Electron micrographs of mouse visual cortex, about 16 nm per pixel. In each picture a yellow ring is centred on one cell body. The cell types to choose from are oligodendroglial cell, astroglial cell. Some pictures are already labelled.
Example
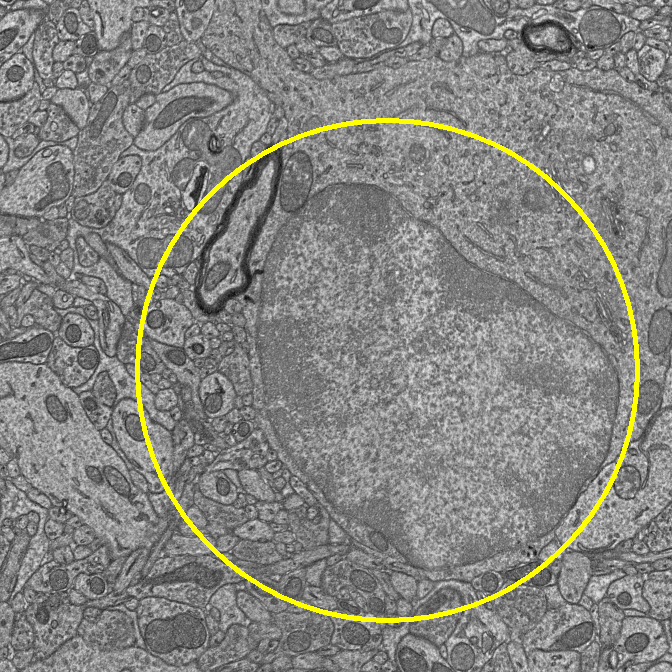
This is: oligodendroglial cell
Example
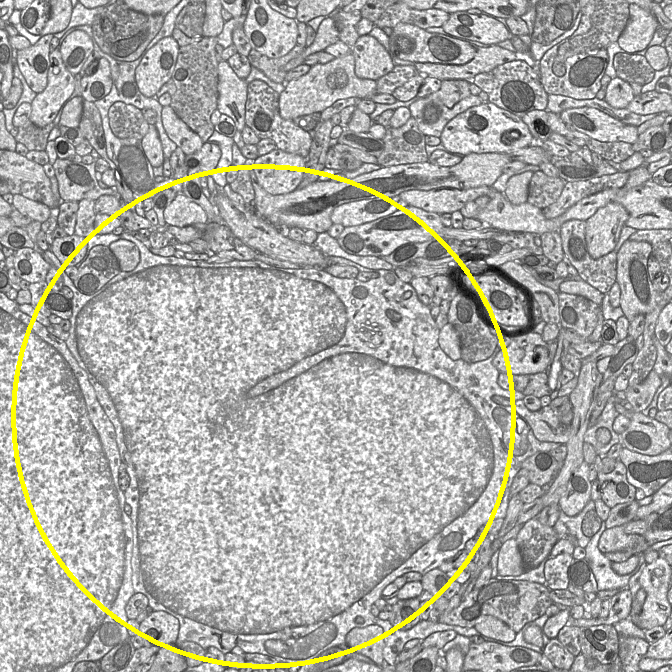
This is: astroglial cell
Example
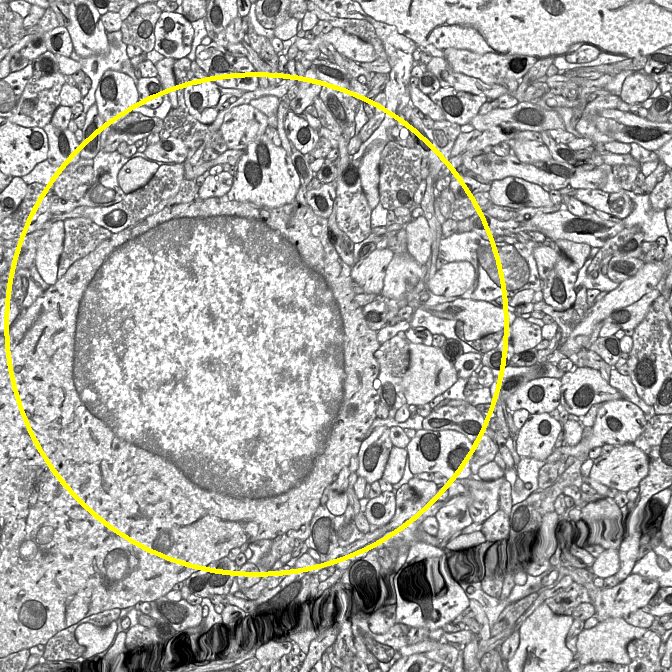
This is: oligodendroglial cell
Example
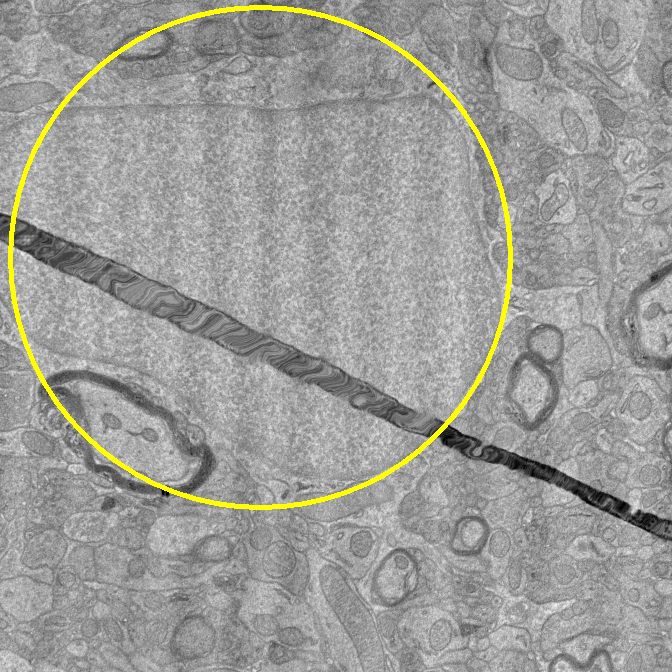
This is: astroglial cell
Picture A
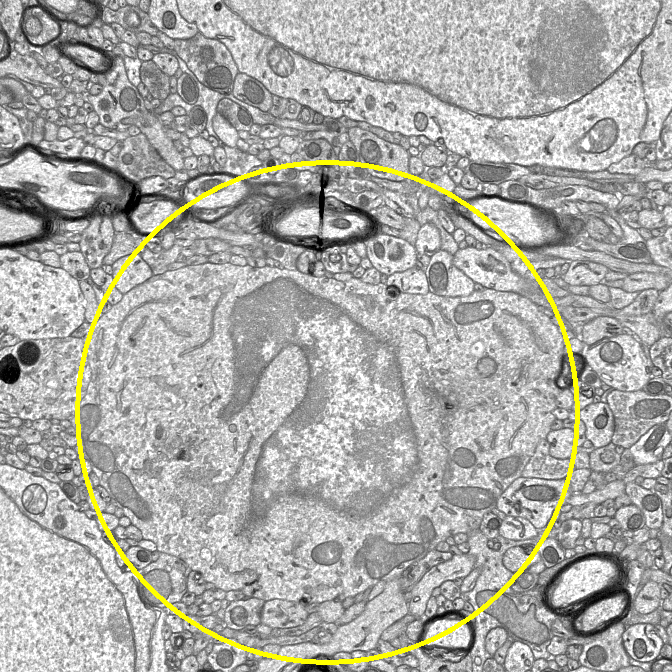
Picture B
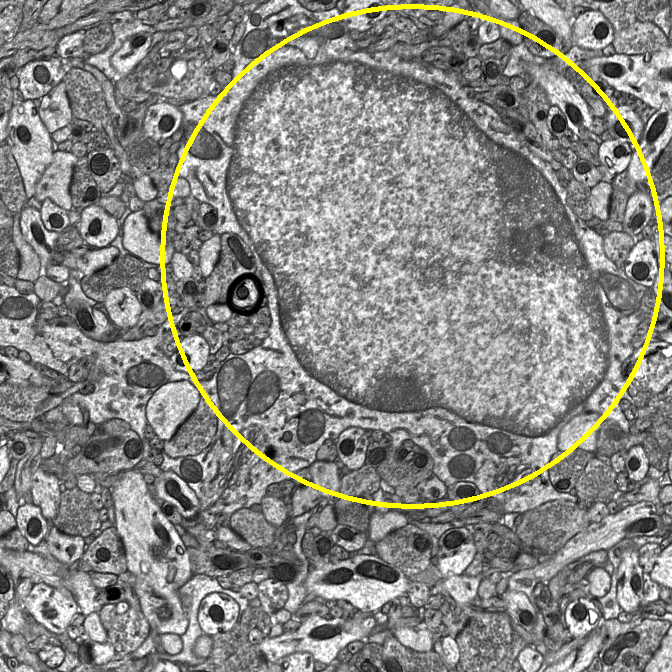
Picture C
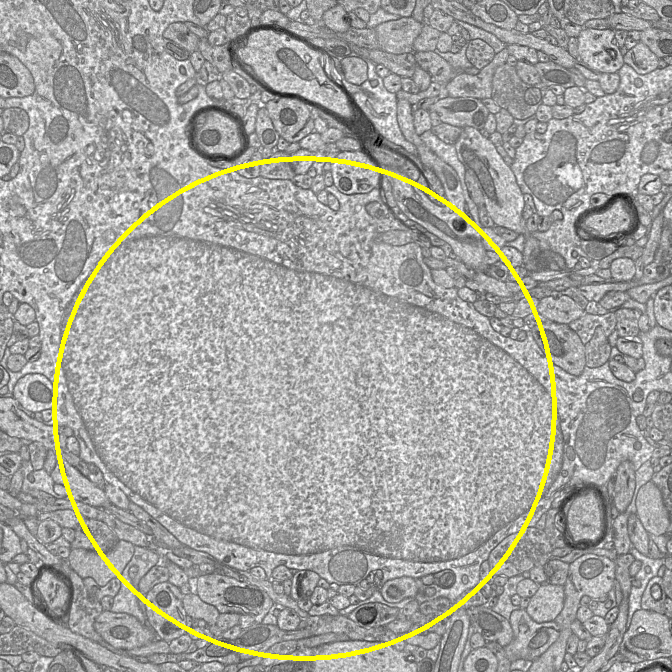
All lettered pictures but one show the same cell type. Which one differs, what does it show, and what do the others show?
A: oligodendroglial cell; all the others: astroglial cell.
